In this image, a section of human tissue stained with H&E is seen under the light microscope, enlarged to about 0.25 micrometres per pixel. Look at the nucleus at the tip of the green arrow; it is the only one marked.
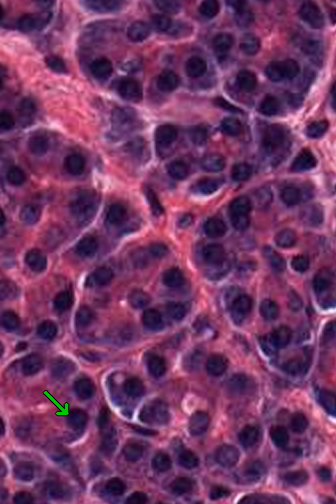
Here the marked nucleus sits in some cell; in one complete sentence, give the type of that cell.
The marked nucleus is the nucleus of a pancreatic acinar cell.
